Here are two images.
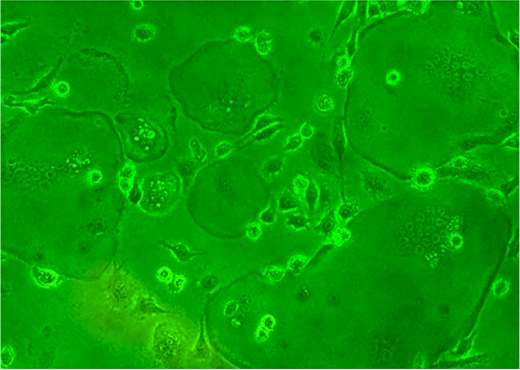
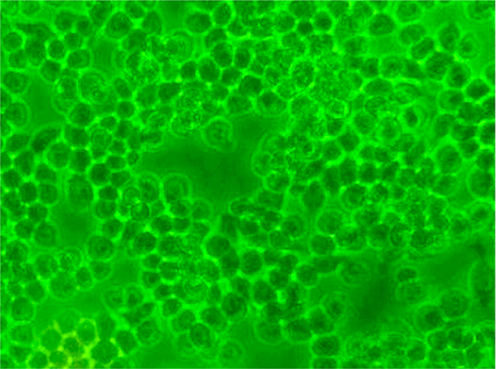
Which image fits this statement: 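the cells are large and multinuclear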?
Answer: the first image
